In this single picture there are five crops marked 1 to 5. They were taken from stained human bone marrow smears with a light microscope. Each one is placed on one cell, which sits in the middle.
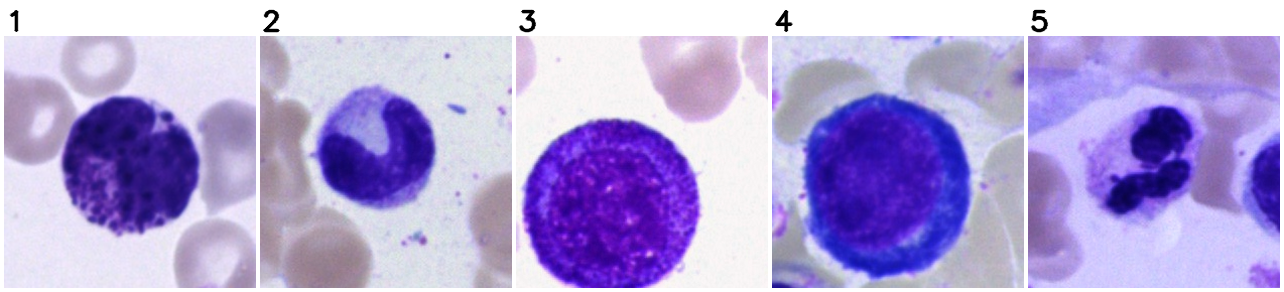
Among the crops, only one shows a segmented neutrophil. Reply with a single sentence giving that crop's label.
Crop 5 is the right one; it is the crop showing a segmented neutrophil.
